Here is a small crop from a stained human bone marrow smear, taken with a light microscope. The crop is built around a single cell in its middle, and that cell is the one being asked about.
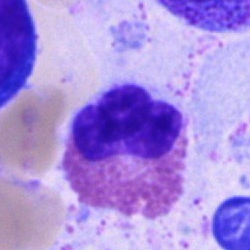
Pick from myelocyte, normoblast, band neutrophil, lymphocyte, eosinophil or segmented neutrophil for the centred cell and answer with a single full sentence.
Classification of the middle cell gives an eosinophil.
